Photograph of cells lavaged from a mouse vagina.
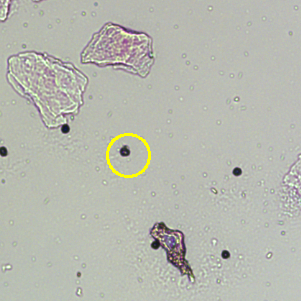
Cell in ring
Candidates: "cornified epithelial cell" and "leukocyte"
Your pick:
leukocyte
